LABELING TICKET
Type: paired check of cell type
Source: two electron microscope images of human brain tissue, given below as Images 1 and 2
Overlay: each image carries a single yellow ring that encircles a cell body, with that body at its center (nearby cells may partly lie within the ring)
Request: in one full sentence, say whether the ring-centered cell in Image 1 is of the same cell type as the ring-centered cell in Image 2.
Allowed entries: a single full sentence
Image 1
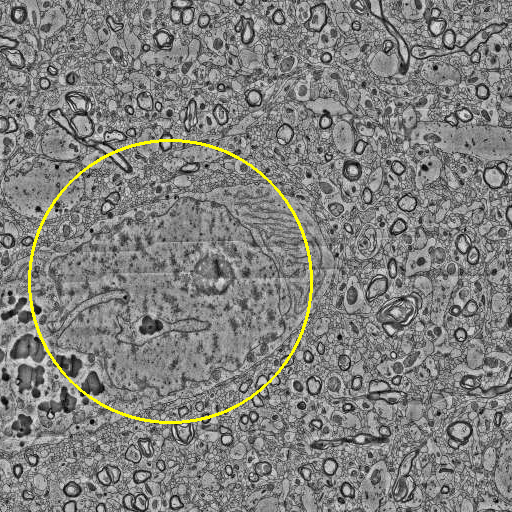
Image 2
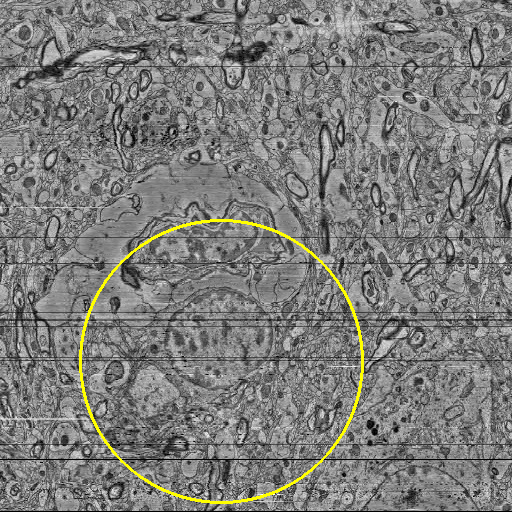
No, the cells centered in the rings of Image 1 and Image 2 are of two types.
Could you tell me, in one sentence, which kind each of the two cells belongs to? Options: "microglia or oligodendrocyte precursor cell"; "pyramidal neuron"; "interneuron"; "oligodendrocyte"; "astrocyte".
At the centre of the first ring sits an interneuron, and at the centre of the second sits an oligodendrocyte.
